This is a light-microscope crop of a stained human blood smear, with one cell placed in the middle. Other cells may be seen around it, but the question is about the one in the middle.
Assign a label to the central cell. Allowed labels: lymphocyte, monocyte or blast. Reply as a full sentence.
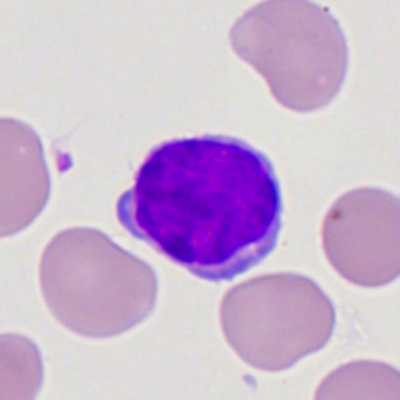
The crop shows a lymphocyte in its centre.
